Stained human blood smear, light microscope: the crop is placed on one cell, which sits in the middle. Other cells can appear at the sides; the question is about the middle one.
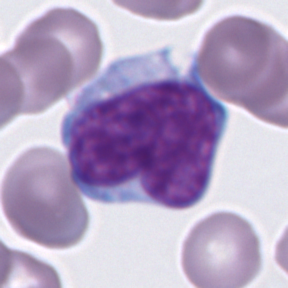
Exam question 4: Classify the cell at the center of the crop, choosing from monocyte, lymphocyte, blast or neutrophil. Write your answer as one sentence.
The cell marked by its central position in the crop is a blast.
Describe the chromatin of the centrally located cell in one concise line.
In this nucleus, the chromatin is arranged in coarse clumps.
